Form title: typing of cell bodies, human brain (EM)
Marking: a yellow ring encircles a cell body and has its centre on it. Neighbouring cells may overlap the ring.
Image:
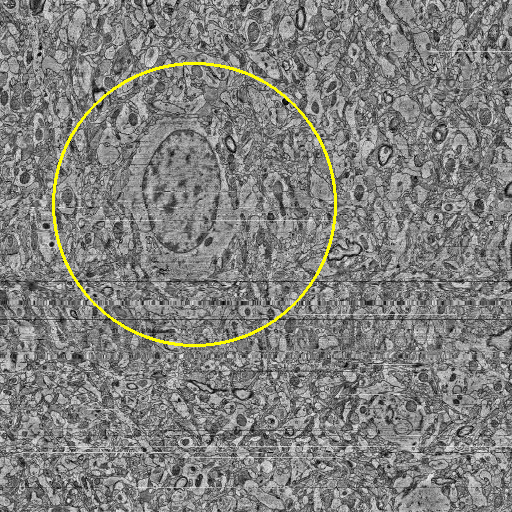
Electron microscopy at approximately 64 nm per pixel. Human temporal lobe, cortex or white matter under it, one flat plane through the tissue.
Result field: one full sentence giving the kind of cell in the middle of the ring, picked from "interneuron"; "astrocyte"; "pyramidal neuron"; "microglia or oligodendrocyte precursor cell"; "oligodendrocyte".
In the picture, the ring is centred on an astrocyte, whose cell body it encircles.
